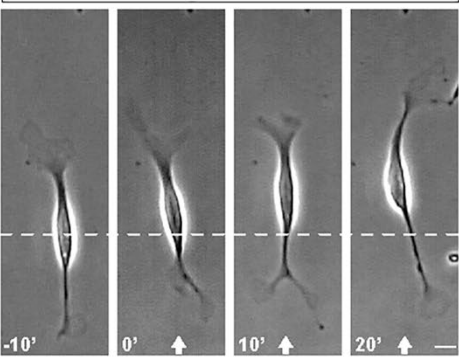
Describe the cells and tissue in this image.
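The cell is strongly elongated and bipolar: a phase-bright, spindle-shaped cell body sits in the middle, drawn out into a long, thin process at each end. The ends of these processes spread into flat, pale, fan-like expansions lying on the substrate. Across the frames the shape stays spindle-like while the cell body shifts upward relative to the horizontal dashed reference line, and the processes change length and the flattened tips reshape as the cell moves.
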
